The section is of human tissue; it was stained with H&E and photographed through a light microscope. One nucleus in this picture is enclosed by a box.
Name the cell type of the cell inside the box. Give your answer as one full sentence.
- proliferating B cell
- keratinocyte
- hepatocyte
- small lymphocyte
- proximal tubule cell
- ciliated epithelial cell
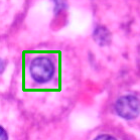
For the purposes of cell typing, the cell inside the box is categorized as a hepatocyte.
